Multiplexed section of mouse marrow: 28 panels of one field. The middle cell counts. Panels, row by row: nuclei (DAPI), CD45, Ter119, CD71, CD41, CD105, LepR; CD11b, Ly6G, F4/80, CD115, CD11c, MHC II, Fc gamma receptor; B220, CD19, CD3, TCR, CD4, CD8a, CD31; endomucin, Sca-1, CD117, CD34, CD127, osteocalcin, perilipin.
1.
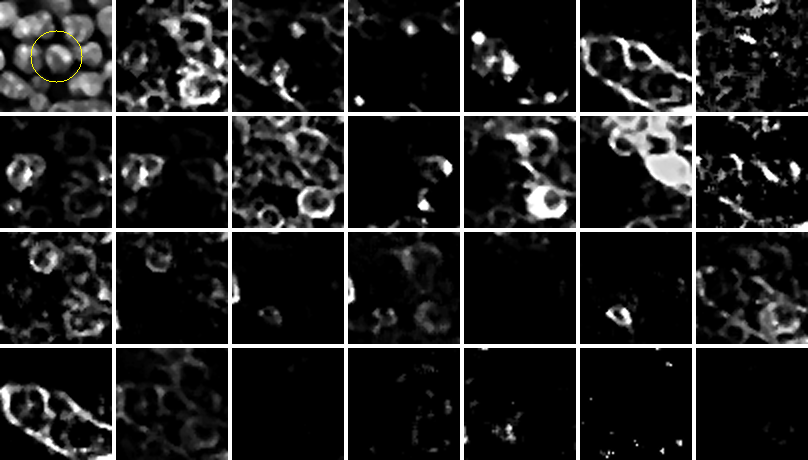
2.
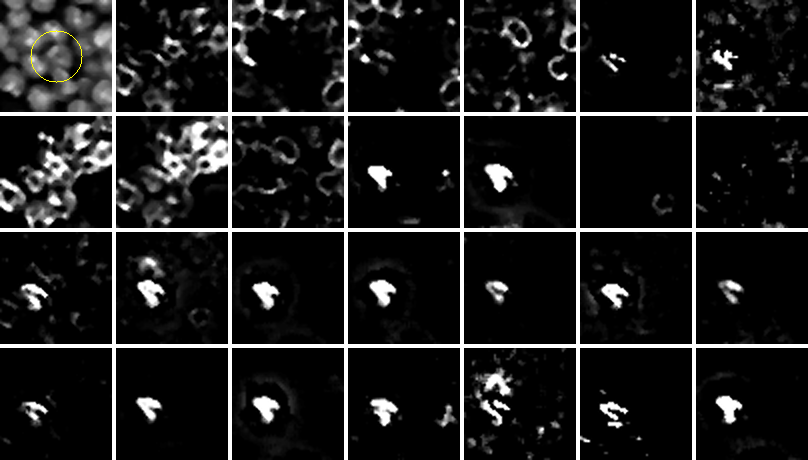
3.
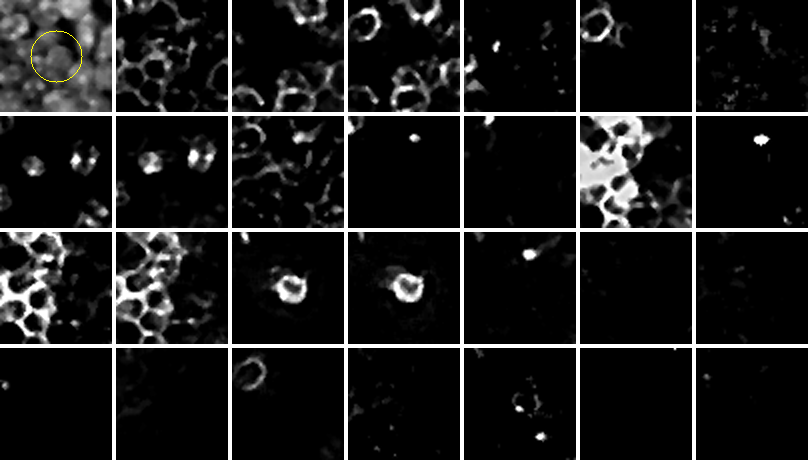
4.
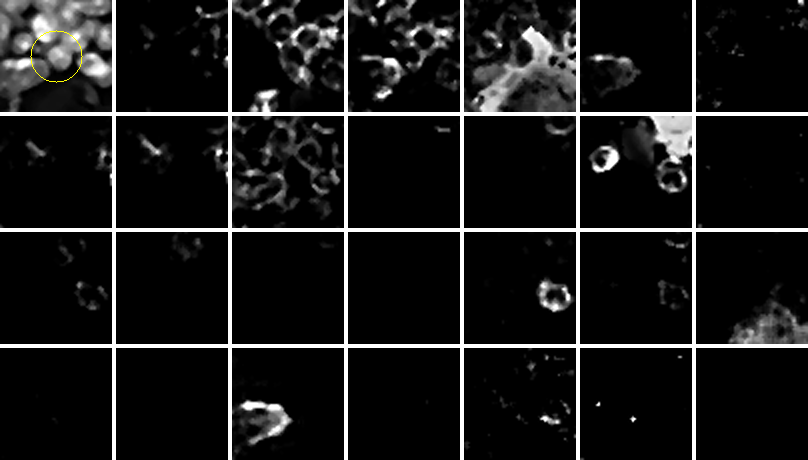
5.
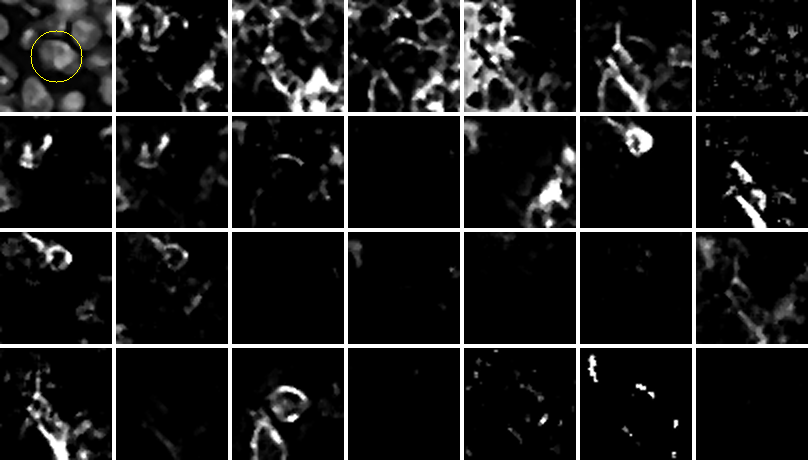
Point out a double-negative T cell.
That is picture 3.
